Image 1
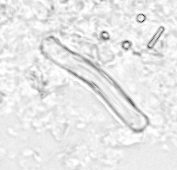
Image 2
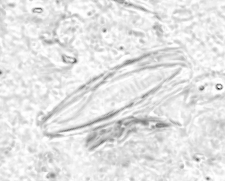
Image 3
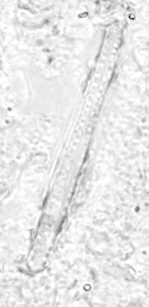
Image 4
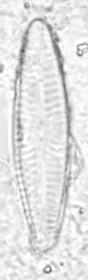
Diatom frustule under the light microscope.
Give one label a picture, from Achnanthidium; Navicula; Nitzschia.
1. Achnanthidium
2. Achnanthidium
3. Nitzschia
4. Navicula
